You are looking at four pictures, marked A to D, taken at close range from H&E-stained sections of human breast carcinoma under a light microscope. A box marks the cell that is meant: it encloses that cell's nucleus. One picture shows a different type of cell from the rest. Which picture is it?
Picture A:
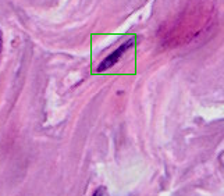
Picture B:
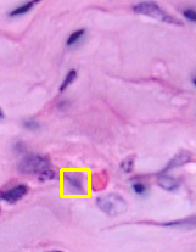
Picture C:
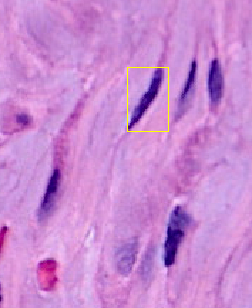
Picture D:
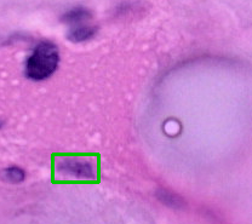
B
